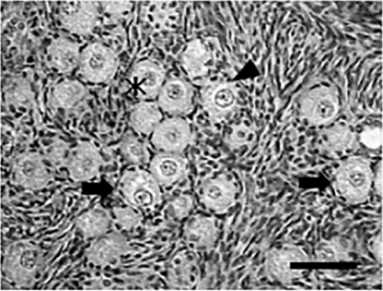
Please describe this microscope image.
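Numerous pale round oocytes with central nuclei are packed among swirling spindle-shaped stromal cells with elongated nuclei. Each oocyte is wrapped by one layer of cells, flattened around some and cuboidal around others. They are early follicles of the ovarian cortex, from primordial follicles through the transition stage to primary follicles.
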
